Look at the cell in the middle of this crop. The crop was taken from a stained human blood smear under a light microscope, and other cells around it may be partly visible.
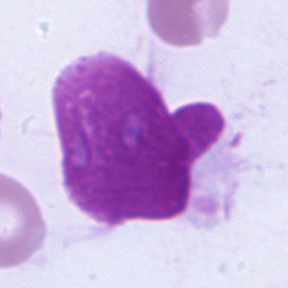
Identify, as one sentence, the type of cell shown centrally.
The middle of this crop holds a smudge cell.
